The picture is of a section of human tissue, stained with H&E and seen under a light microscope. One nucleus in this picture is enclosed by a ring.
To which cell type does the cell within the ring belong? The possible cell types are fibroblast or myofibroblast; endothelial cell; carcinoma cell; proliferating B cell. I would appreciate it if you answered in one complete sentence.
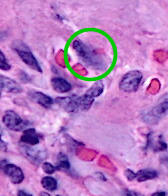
Typologically, the cell within the ring is an endothelial cell in this section.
